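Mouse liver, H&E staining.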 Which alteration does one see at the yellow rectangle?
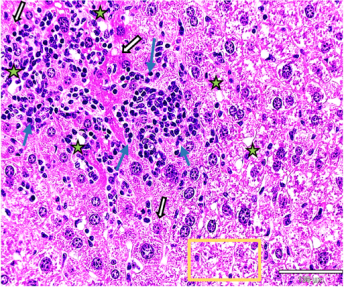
ballooning and degeneration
